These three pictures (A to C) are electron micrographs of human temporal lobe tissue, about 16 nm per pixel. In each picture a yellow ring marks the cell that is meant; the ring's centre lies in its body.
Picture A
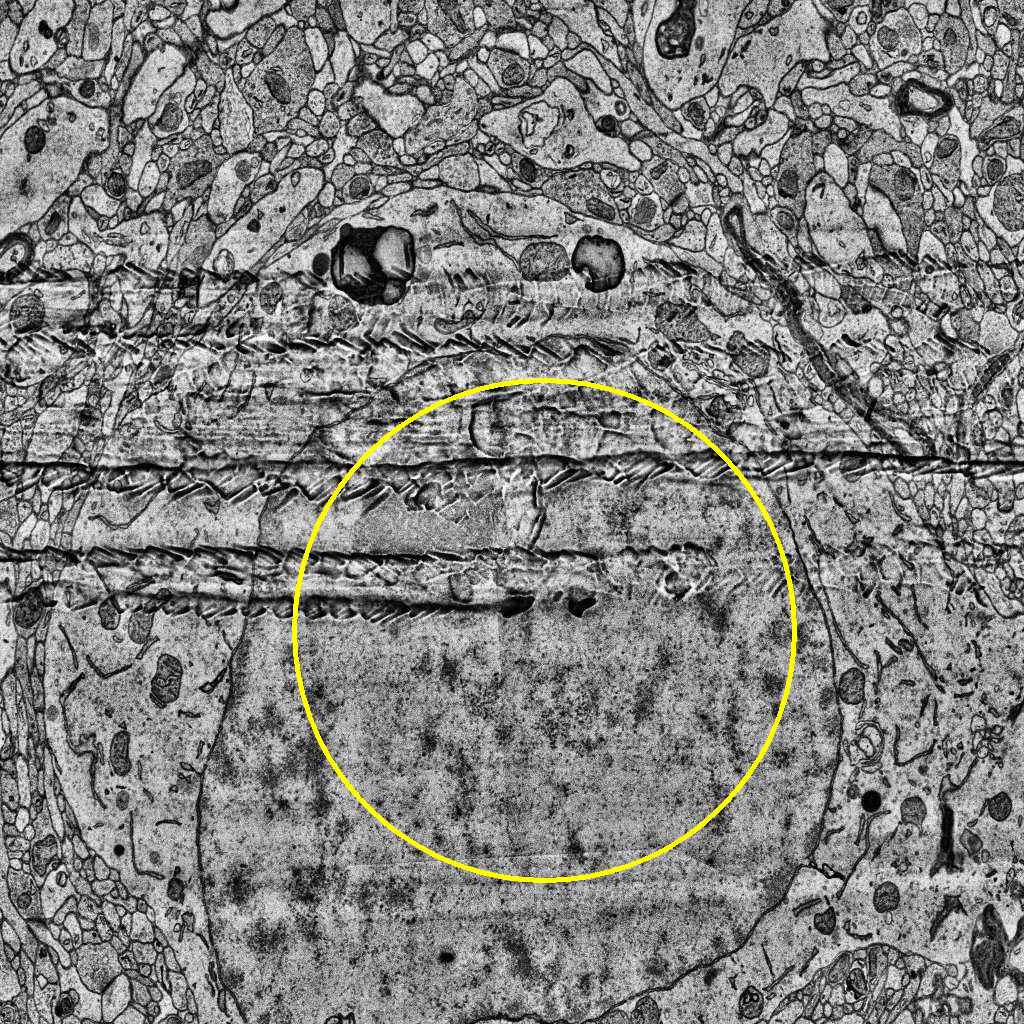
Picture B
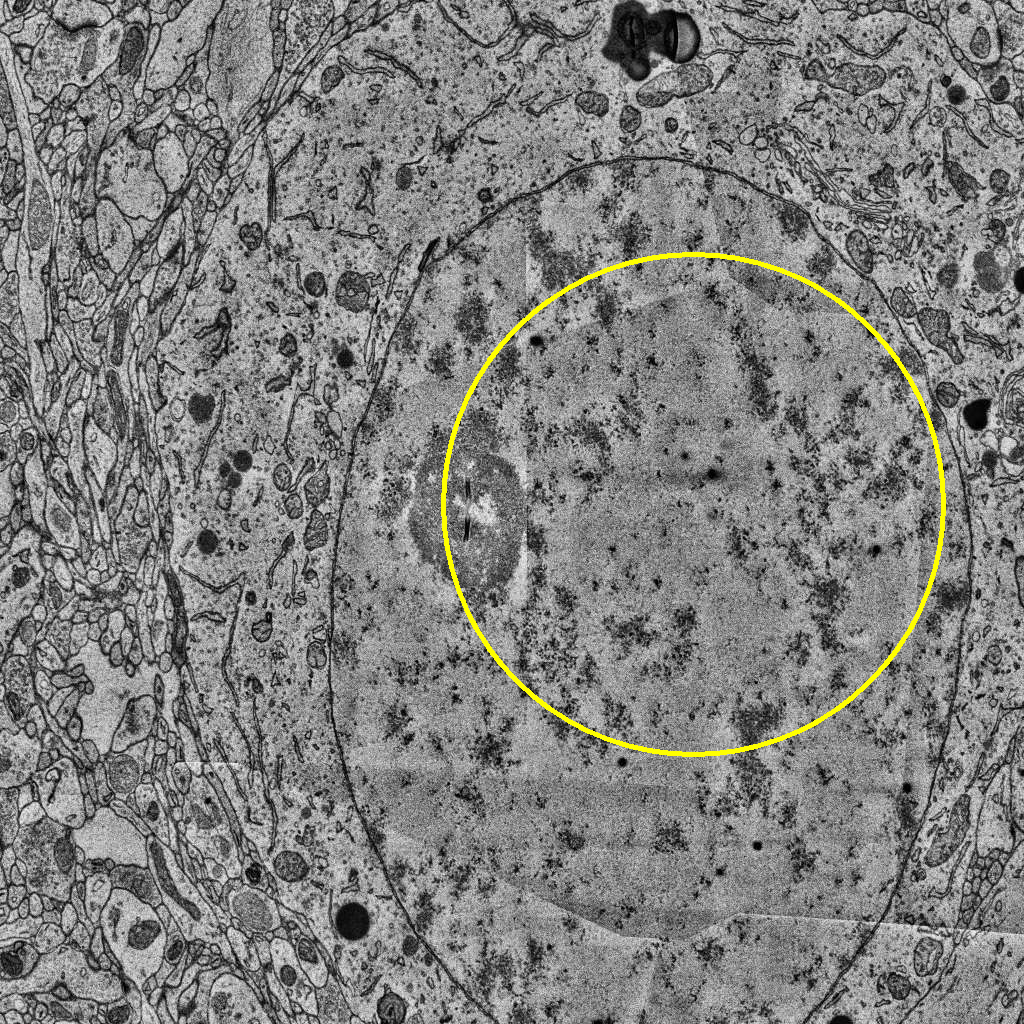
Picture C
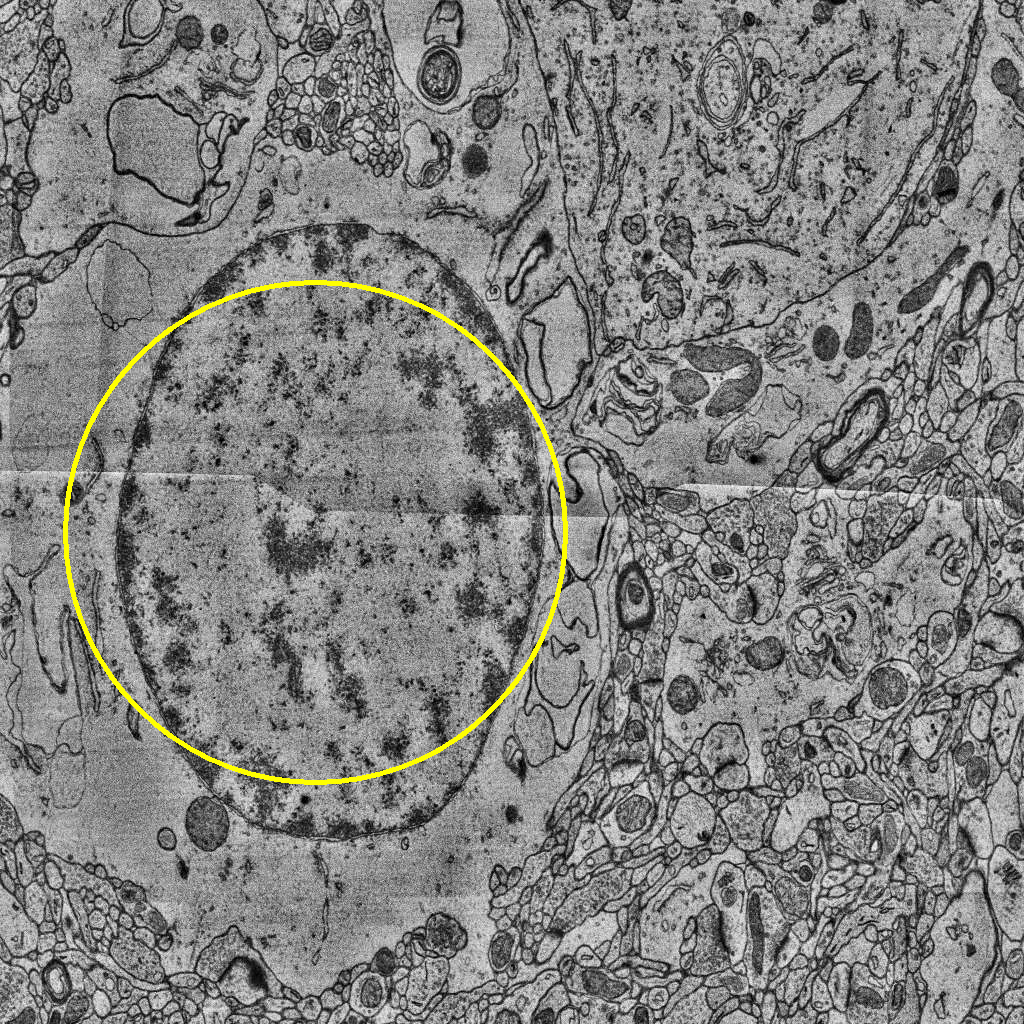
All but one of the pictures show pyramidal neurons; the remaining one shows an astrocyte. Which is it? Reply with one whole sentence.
It is picture C that shows the astrocyte.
